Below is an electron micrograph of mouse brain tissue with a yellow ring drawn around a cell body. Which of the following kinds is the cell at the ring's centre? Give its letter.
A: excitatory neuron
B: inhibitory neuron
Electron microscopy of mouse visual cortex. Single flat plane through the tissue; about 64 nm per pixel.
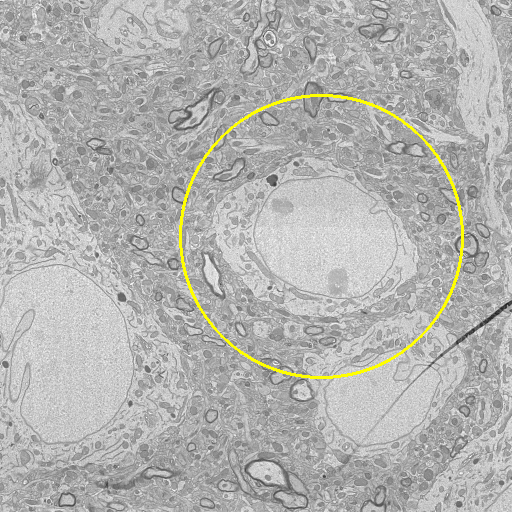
A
